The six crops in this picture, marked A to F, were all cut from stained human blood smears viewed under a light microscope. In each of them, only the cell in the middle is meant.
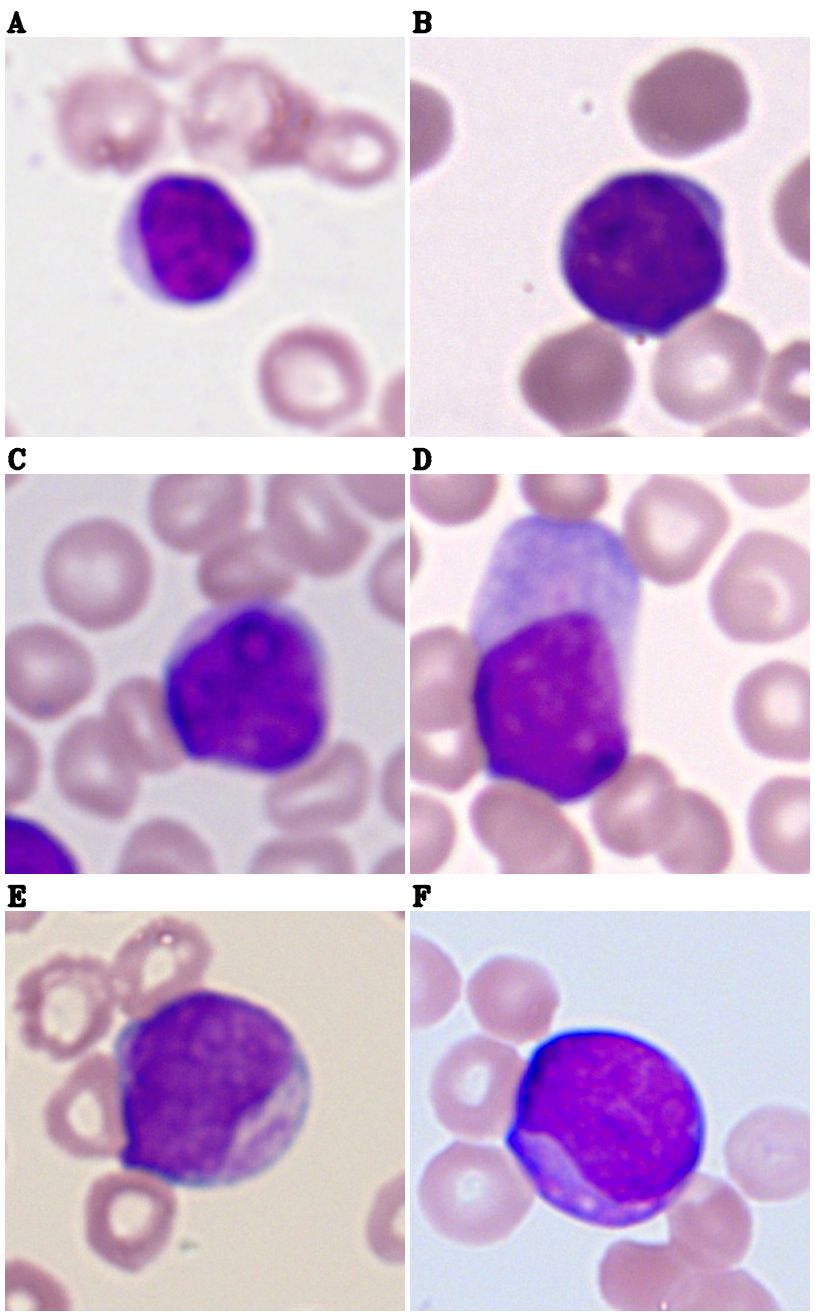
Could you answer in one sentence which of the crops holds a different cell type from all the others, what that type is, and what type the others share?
Crop A breaks the pattern with a lymphocyte; all the others show myeloblasts.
